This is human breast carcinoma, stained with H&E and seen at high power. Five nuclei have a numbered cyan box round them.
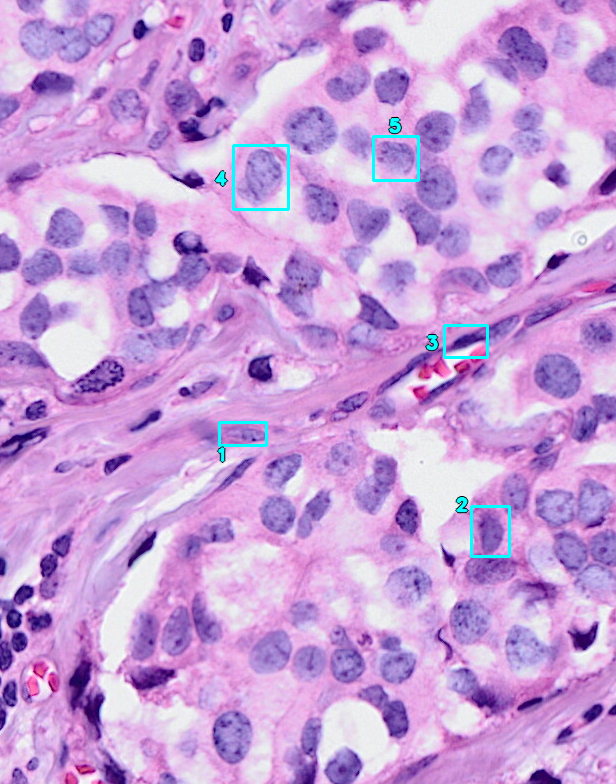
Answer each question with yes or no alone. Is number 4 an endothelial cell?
no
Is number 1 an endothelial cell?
yes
